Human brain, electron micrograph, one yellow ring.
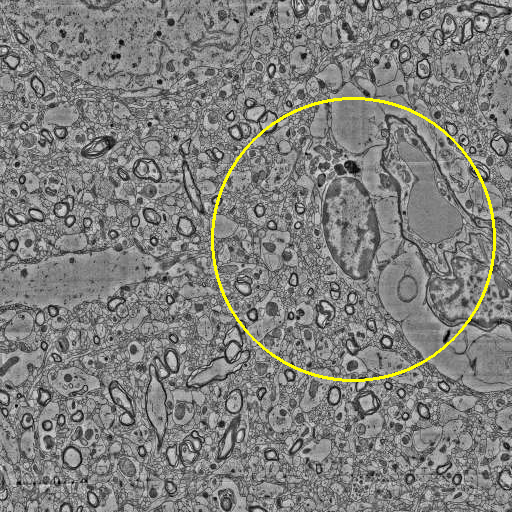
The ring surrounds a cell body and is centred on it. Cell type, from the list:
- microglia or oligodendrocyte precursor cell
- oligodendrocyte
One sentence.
The yellow ring circles a microglial cell or oligodendrocyte precursor cell.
